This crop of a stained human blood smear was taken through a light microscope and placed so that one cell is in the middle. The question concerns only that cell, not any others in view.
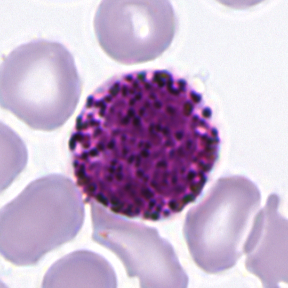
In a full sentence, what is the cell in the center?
In this crop, the cell at the very middle is a basophil.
